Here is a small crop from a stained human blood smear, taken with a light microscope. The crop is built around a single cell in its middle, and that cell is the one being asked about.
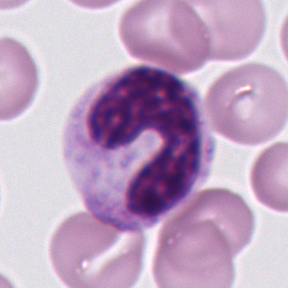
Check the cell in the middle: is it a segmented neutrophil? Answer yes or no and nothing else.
no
